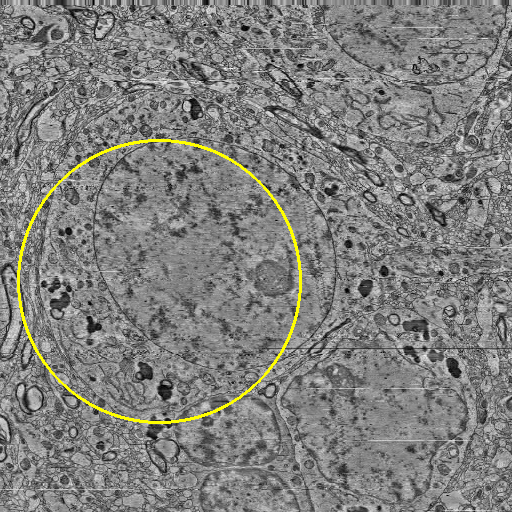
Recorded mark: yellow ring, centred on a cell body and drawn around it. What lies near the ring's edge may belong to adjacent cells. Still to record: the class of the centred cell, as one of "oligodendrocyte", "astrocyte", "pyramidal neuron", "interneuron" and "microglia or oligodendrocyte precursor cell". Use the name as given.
pyramidal neuron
